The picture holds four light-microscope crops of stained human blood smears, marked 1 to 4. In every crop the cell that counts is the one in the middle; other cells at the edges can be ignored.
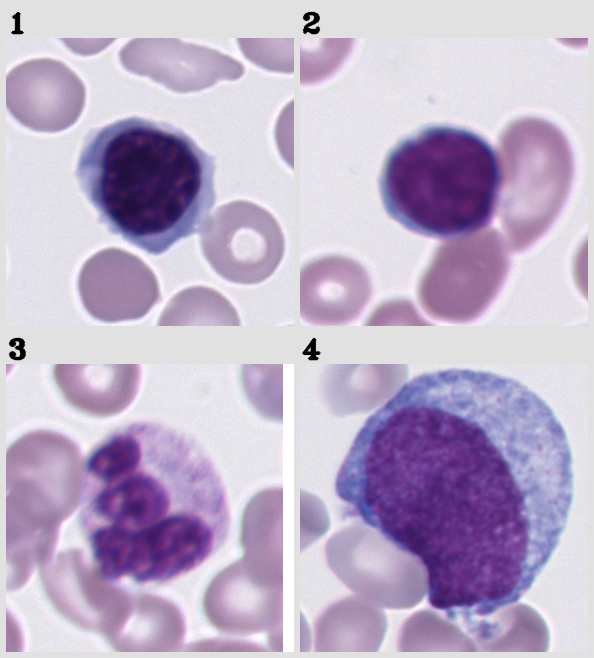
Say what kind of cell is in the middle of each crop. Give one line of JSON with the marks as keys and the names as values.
{"1": "erythroblast", "2": "lymphocyte", "3": "neutrophil", "4": "promyelocyte"}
